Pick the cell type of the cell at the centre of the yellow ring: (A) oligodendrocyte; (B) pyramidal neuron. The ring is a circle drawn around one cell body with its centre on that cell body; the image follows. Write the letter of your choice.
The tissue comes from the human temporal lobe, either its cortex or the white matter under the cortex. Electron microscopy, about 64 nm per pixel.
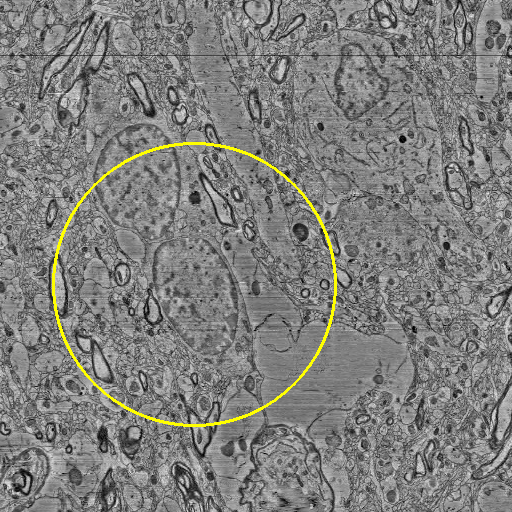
A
